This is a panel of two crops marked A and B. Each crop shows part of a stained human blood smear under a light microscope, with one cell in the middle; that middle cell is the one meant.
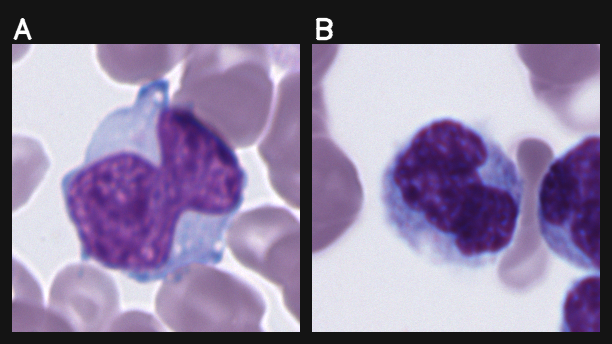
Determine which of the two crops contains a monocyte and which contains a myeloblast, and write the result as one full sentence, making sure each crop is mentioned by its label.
Represented in crop A is a myeloblast; represented in crop B is a monocyte.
